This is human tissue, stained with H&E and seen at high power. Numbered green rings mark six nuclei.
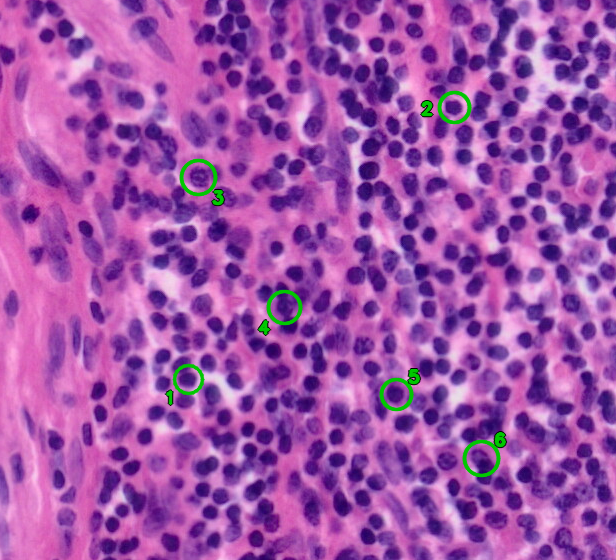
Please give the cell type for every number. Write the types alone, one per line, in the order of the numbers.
small lymphocyte
small lymphocyte
plasma cell
plasma cell
plasma cell
plasma cell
